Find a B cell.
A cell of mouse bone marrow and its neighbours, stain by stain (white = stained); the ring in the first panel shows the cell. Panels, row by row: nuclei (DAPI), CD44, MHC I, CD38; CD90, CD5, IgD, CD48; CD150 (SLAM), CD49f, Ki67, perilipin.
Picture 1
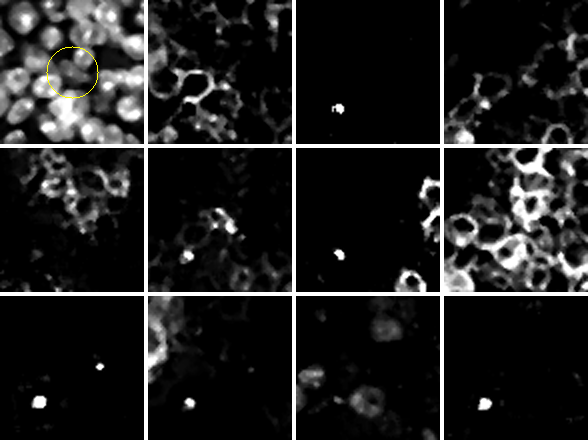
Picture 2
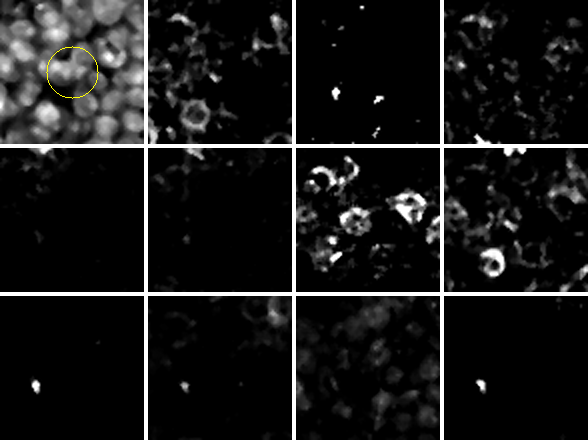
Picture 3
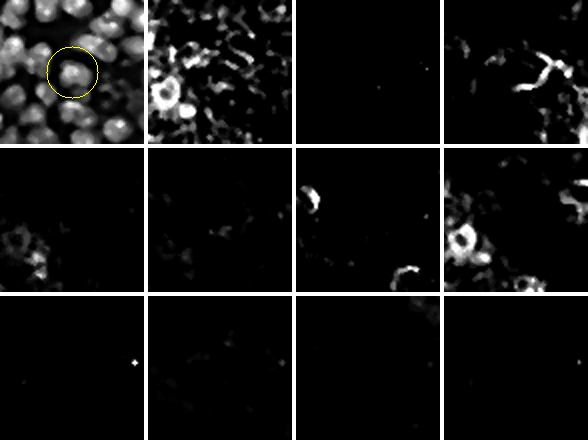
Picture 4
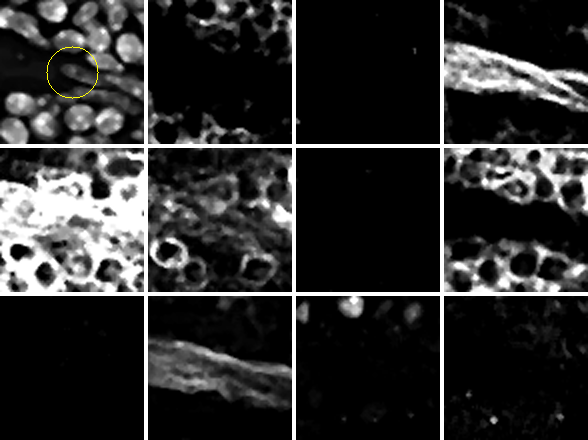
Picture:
2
